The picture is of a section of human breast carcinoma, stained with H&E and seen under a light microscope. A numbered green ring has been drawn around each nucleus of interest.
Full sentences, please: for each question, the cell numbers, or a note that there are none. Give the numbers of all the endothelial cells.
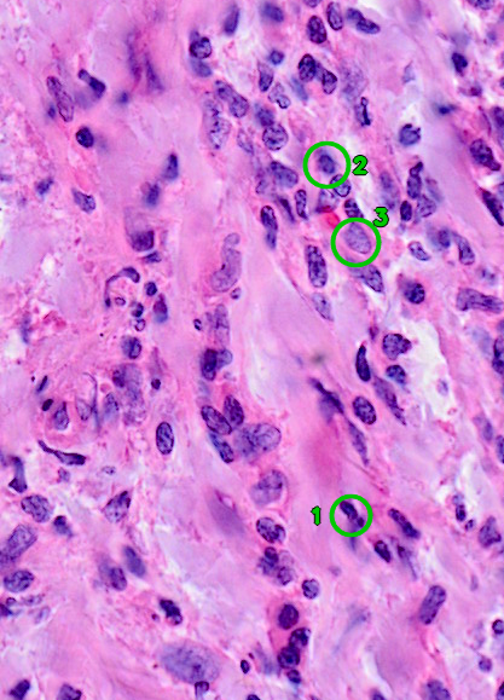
Cell number 3 alone is an endothelial cell; the rest are not.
